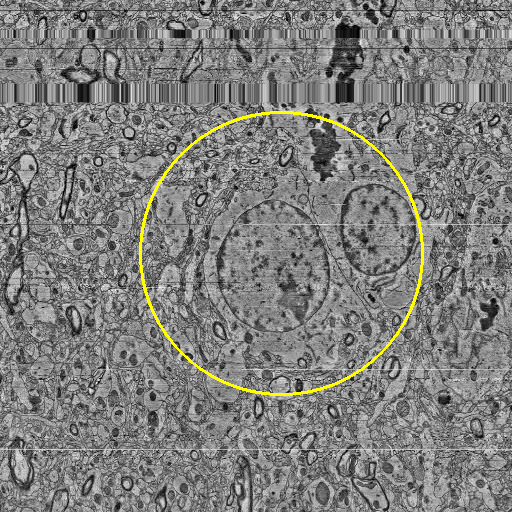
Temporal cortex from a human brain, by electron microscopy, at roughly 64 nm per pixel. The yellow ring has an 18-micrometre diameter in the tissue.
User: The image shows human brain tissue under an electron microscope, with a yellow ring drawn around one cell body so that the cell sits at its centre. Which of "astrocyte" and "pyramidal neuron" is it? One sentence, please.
At the centre of the ring sits an astrocyte.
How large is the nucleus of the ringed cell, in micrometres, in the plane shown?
Roughly 9 by 7 micrometres is the size of the nucleus in this plane.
